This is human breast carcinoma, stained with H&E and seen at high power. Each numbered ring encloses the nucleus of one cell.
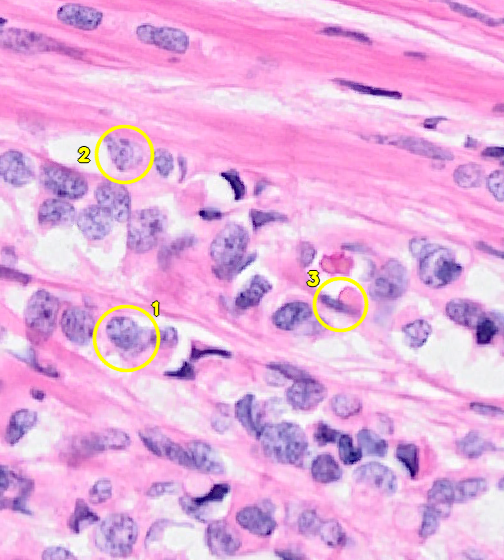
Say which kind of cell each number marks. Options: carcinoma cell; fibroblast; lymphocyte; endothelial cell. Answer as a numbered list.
1. carcinoma cell
2. carcinoma cell
3. endothelial cell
